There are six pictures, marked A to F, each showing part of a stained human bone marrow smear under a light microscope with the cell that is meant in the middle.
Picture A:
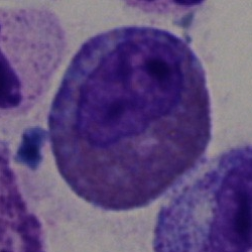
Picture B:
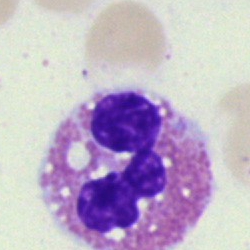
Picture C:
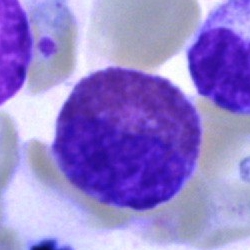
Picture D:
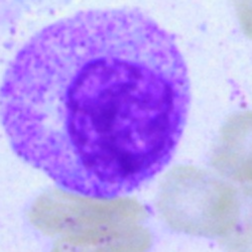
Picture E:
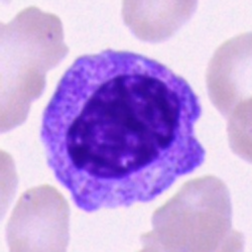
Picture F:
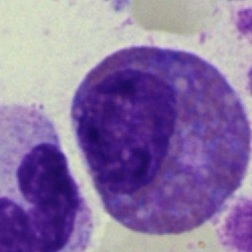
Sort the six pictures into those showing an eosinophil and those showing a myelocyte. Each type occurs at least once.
A: eosinophil
B: eosinophil
C: eosinophil
D: myelocyte
E: myelocyte
F: eosinophil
